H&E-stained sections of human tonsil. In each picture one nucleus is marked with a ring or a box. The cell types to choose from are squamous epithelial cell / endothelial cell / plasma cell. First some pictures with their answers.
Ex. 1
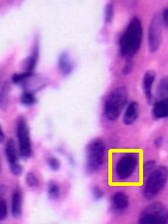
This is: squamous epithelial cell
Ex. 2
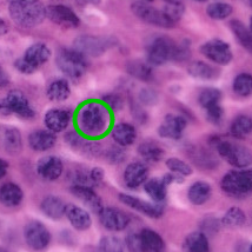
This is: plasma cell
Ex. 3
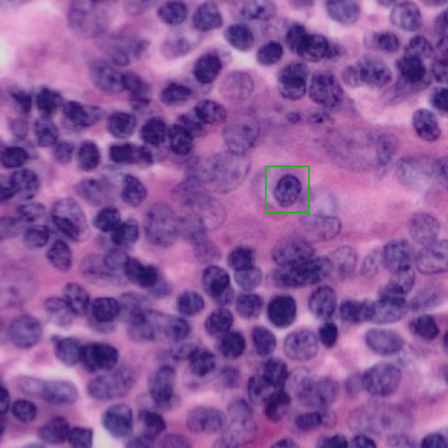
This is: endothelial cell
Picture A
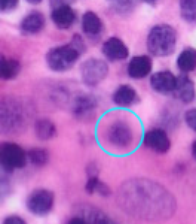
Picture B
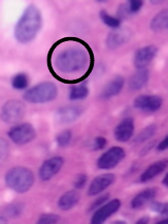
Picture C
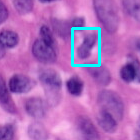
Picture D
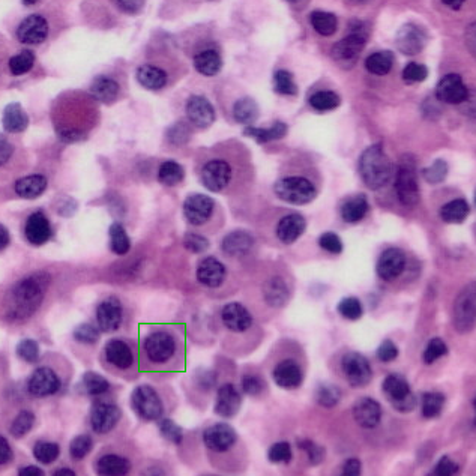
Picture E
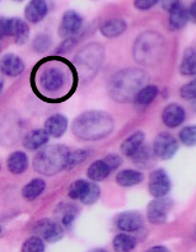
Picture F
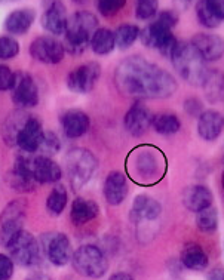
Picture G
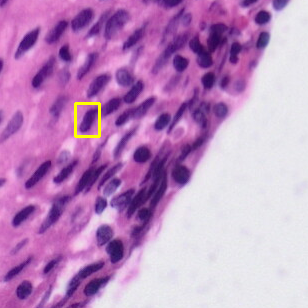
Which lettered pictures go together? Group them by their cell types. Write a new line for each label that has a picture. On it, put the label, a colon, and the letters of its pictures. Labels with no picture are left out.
squamous epithelial cell: B, C, G
endothelial cell: A, E, F
plasma cell: D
